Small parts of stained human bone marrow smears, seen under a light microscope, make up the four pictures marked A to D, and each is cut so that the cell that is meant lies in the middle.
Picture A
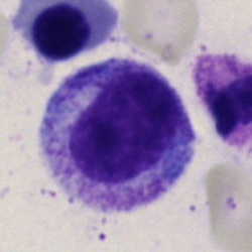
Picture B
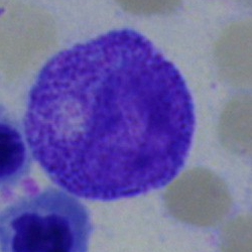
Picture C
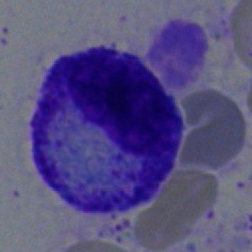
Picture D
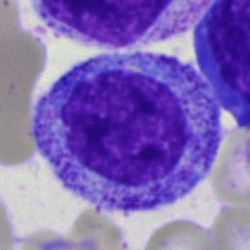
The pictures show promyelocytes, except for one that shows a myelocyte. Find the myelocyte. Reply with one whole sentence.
Picture C is the one that shows the myelocyte.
